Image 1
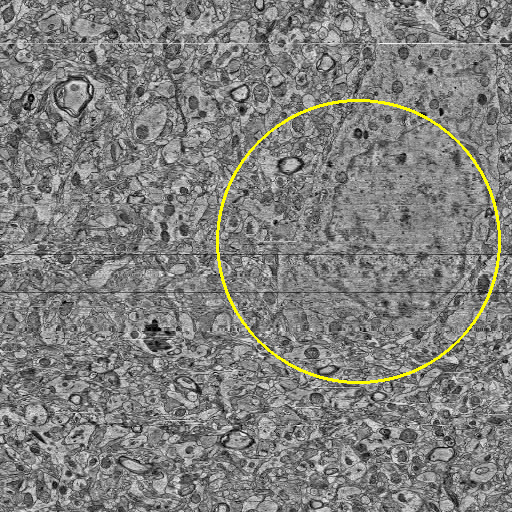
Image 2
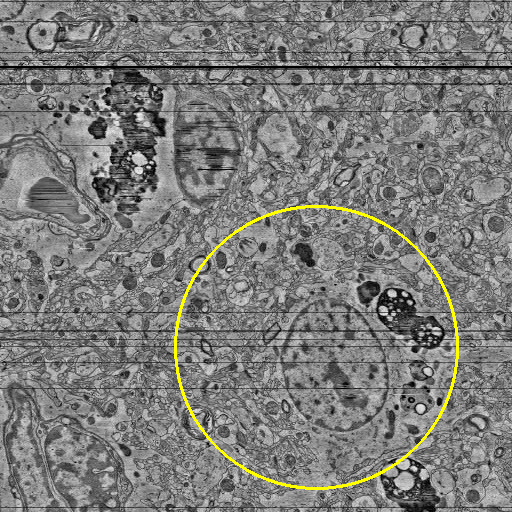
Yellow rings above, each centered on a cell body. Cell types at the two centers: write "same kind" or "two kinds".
two kinds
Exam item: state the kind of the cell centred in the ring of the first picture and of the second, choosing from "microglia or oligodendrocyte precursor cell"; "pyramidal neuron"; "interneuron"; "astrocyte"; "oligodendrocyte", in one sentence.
The first picture shows an interneuron at the ring centre and the second shows an astrocyte.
